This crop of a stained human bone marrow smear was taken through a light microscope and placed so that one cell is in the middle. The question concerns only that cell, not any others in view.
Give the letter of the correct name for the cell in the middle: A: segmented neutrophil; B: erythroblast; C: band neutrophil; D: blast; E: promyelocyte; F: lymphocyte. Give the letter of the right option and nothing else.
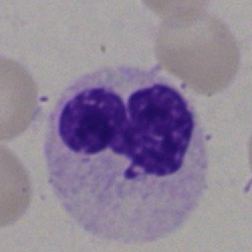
A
